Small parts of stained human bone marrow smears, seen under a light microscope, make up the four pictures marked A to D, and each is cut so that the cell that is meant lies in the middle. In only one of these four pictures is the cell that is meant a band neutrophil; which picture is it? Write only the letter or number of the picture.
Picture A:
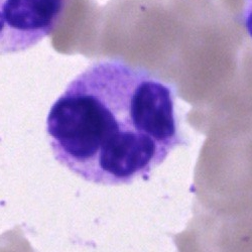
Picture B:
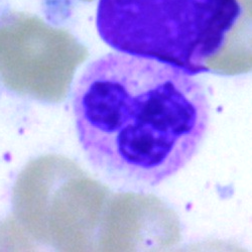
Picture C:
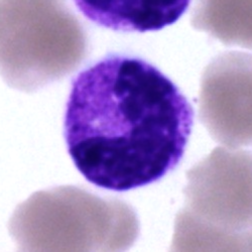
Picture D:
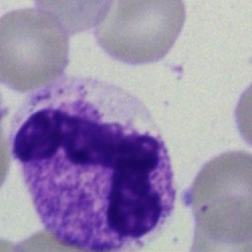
C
